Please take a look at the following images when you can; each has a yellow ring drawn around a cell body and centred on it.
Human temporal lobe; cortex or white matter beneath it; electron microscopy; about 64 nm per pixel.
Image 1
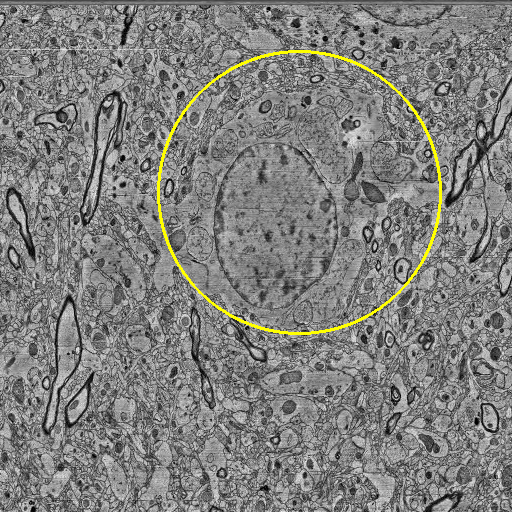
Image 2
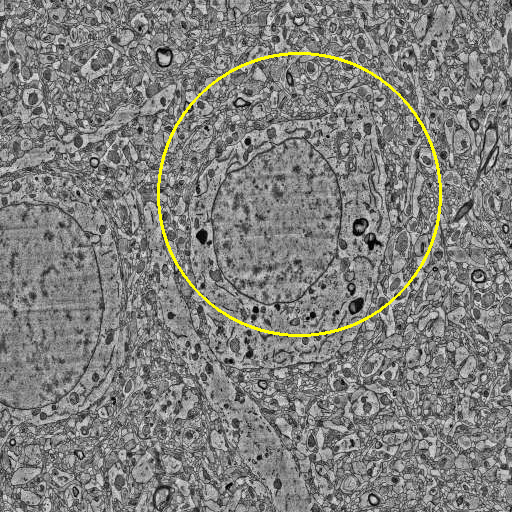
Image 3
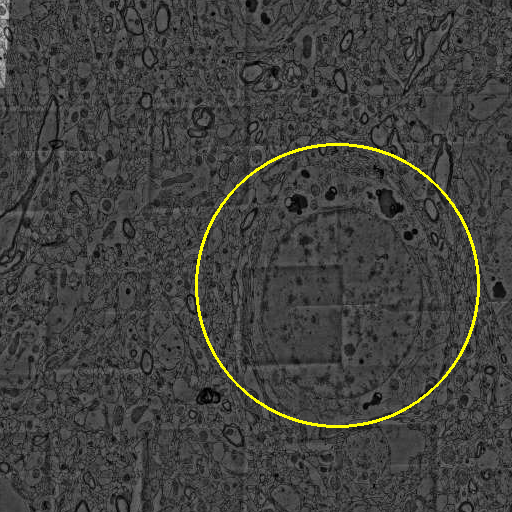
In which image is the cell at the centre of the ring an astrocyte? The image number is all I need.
1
